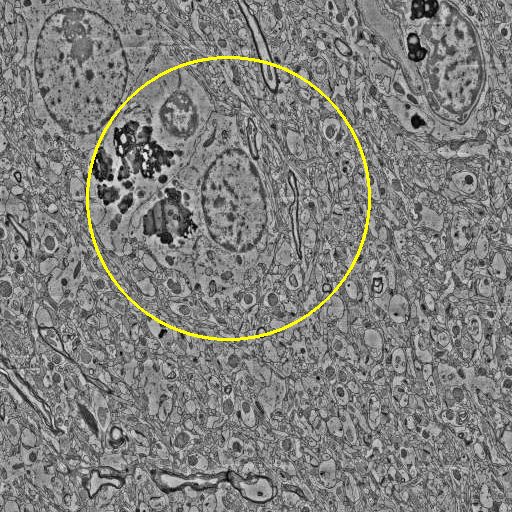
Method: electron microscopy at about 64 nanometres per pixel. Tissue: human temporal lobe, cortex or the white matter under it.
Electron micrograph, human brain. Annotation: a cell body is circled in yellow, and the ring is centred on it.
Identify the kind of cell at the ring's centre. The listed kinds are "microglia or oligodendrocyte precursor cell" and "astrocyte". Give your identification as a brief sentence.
The circled cell body is that of an astrocyte.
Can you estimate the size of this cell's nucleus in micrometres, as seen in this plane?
Clearly longer than it is wide in this plane, the nucleus measures roughly 6 by 4 micrometres.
